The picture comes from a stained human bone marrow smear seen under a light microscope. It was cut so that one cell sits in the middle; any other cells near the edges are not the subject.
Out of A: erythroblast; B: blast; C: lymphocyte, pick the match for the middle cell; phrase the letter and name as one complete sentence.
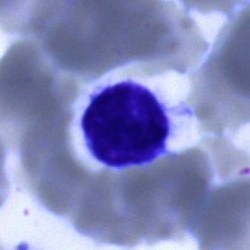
The cell in the middle is a lymphocyte, so option C is correct.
